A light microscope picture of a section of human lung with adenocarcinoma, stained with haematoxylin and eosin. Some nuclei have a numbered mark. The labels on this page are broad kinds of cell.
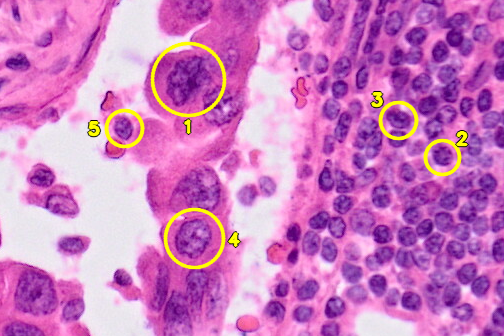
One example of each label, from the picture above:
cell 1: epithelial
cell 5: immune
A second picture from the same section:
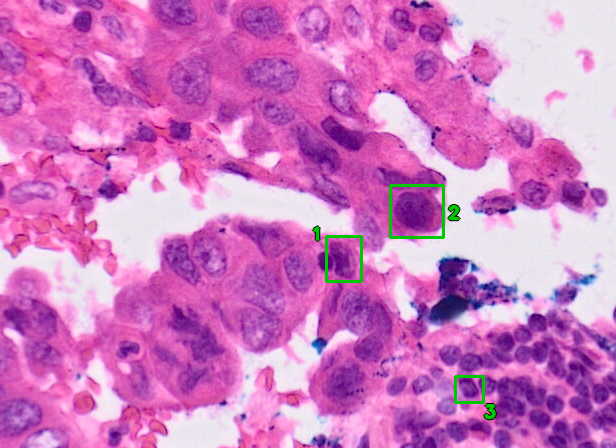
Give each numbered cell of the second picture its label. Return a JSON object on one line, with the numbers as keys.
{"1": "epithelial", "2": "epithelial", "3": "immune"}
